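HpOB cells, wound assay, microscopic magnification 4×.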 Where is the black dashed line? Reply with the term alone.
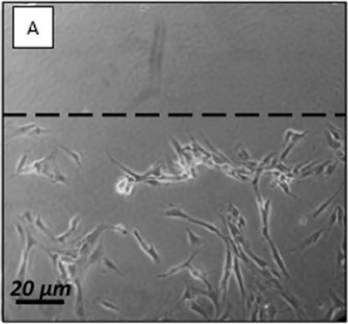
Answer: the place where the scratch occurred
